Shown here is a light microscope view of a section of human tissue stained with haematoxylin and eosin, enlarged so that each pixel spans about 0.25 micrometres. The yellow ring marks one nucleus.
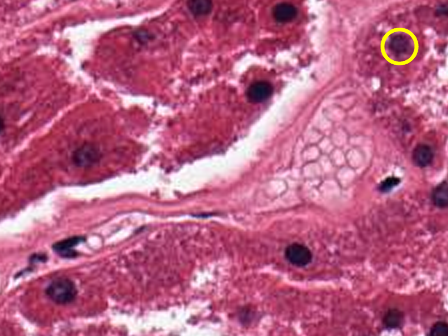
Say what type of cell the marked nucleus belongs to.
proximal tubule cell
